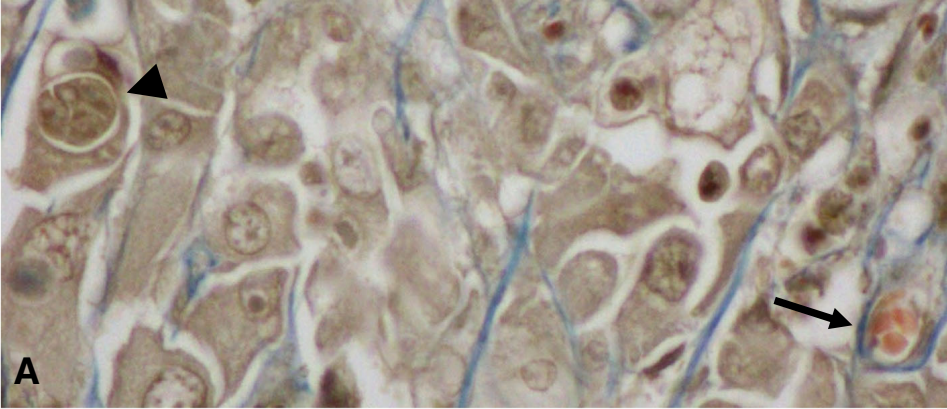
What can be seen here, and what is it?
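Sheets of large polygonal tumour cells with greyish-brown cytoplasm and round vesicular nuclei, many with a visible nucleolus, are separated only by thin strands of blue-staining connective tissue. At the lower right a small intratumoral capillary containing red-orange blood cells is wrapped by a thin blue layer of stroma. At the upper left a rounded space with a pale rim lies directly among tumour cells without a comparable blue collagen sleeve. Scattered cells show darker, condensed nuclei.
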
